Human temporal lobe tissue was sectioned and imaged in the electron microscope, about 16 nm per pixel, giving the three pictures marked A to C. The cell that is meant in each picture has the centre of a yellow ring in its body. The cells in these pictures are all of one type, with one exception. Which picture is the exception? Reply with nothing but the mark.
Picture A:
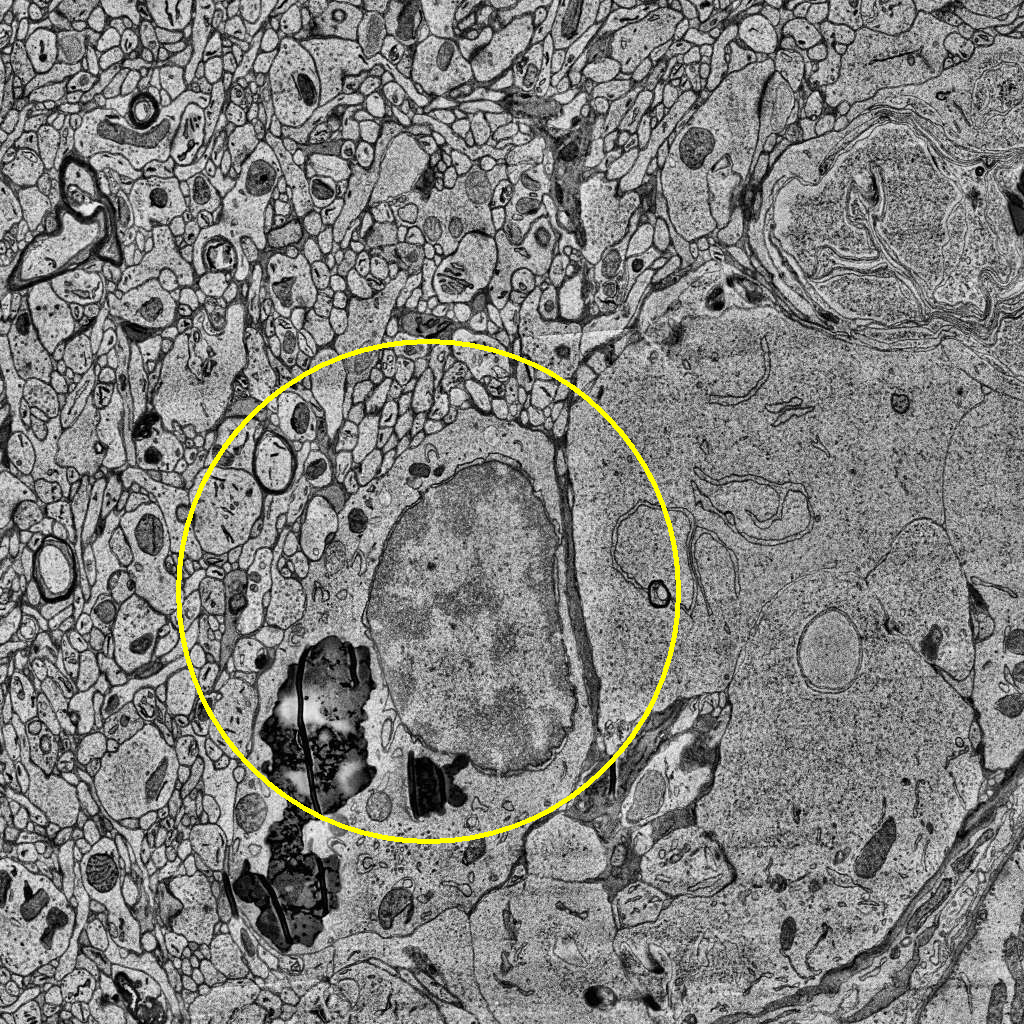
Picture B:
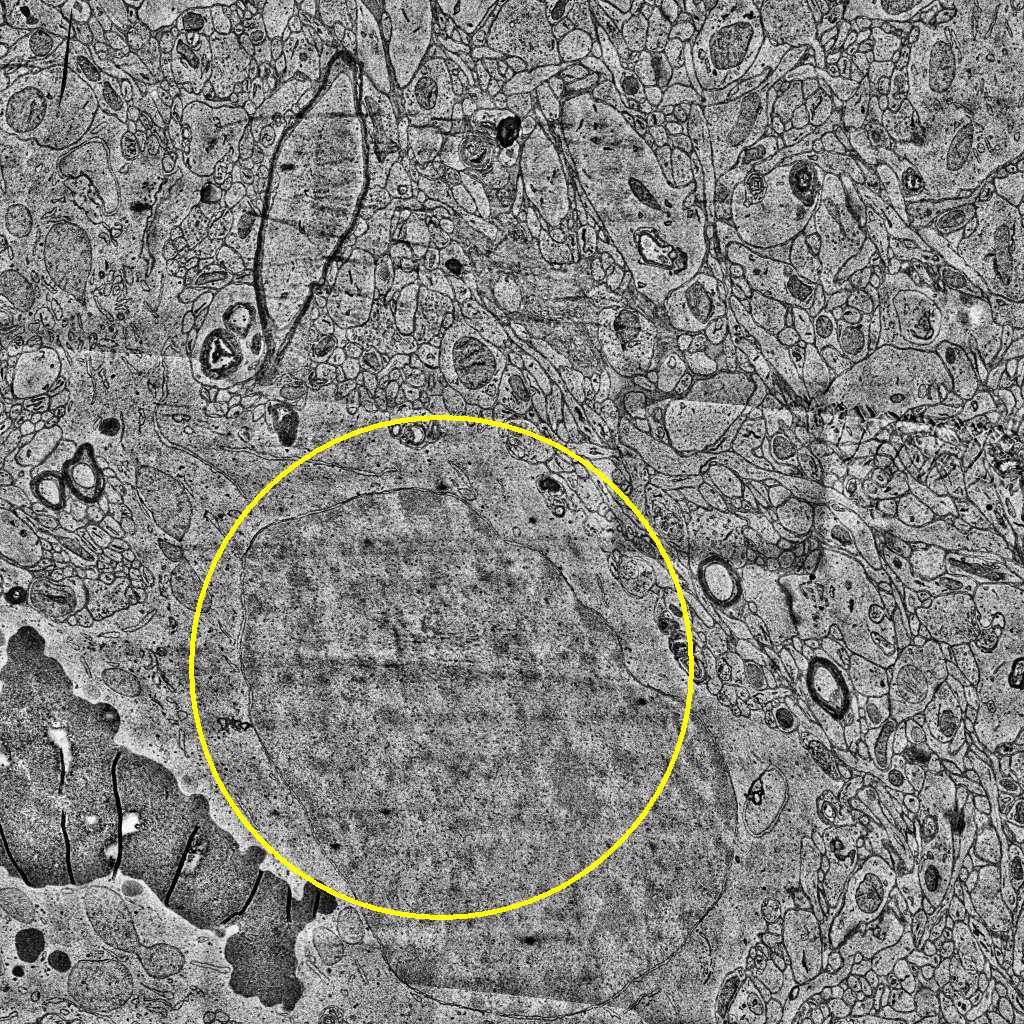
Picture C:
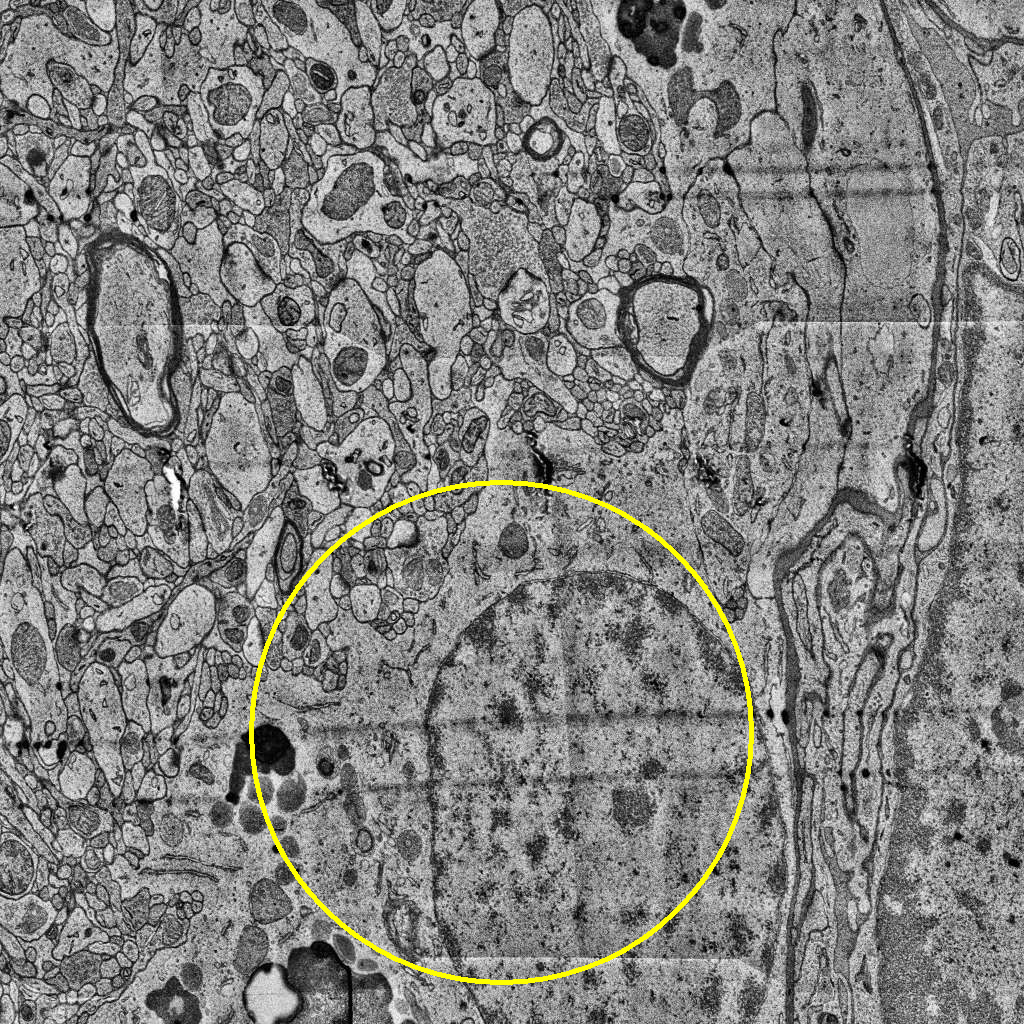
A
